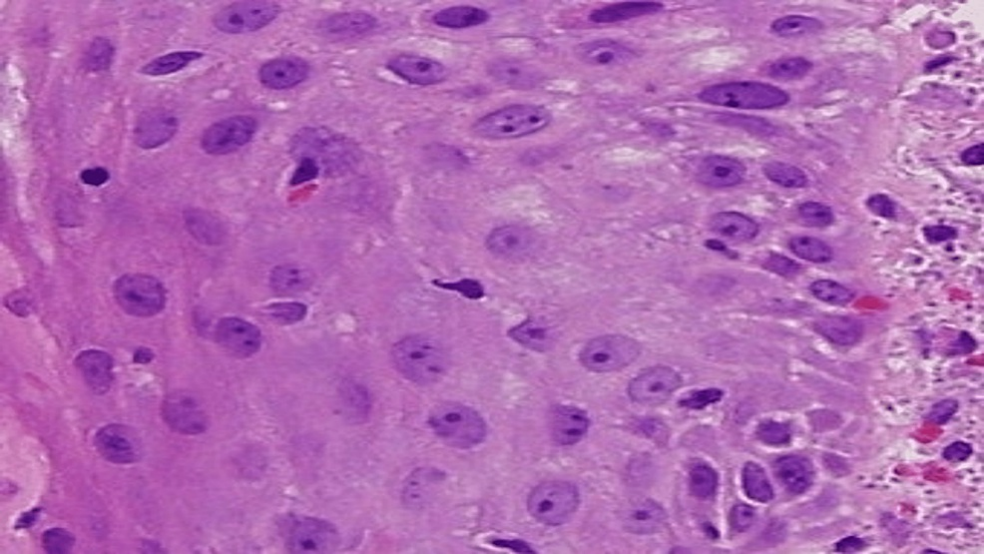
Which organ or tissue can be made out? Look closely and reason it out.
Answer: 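Large polygonal cells with ample pink-purple cytoplasm fill most of the field. The cells lie tightly packed in a cohesive sheet. Nuclei are round to oval with visible nucleoli.
Answer: Squamous epithelium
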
